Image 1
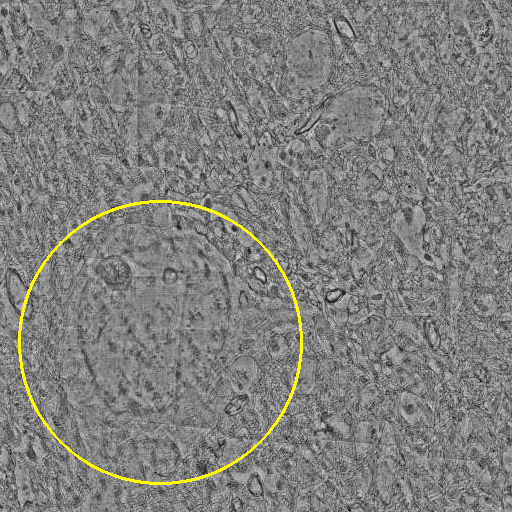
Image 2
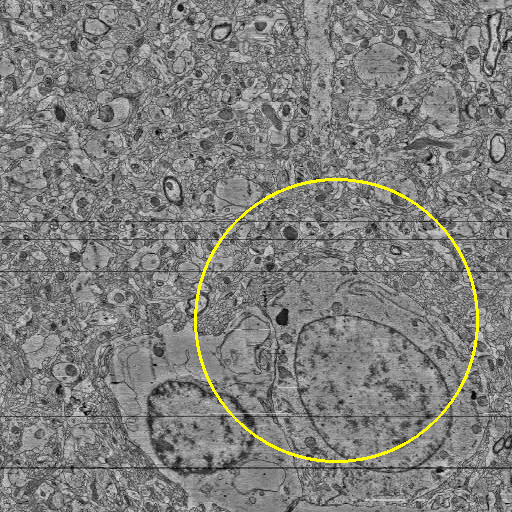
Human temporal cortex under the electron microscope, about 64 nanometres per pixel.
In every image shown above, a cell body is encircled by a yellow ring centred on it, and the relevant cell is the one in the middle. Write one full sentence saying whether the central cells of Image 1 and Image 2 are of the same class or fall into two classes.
The cell at the ring's centre in Image 1 and its counterpart in Image 2 fall into two classes.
